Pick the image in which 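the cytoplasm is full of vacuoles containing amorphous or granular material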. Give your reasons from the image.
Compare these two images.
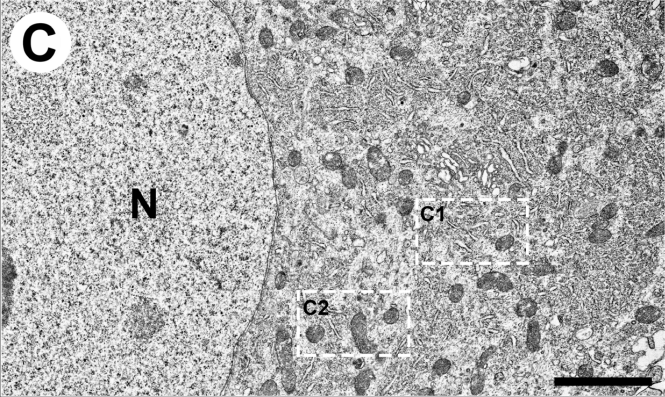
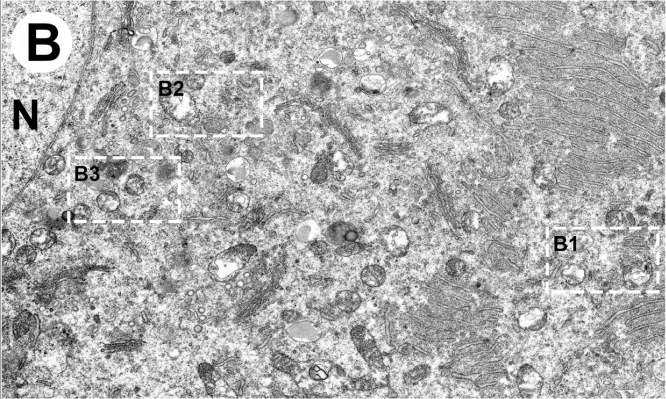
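First image: cytoplasm shows stacked cisternae and compact mitochondria with few vacuoles. Second image: many rounded vacuoles, some pale and some with grey contents, lie among the organelles.
Answer: the second image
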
